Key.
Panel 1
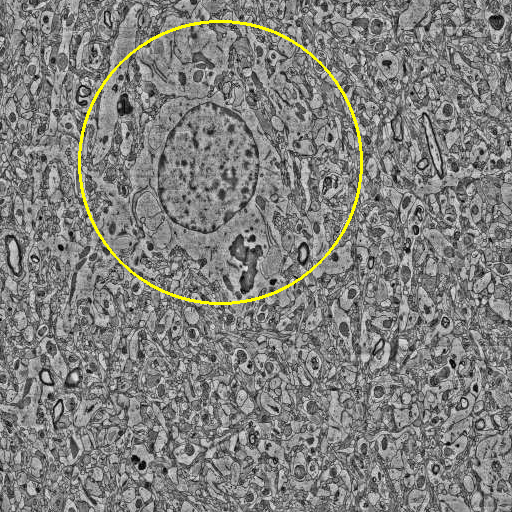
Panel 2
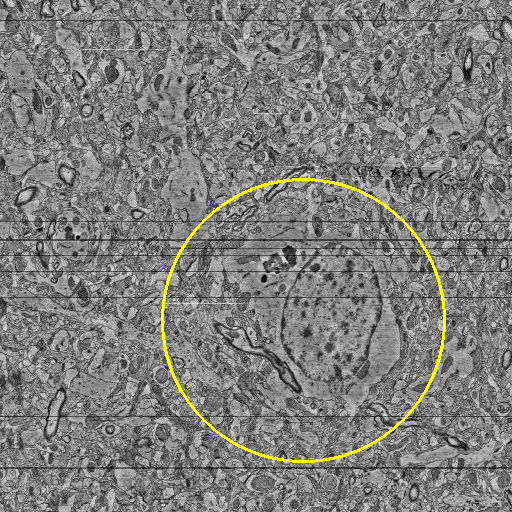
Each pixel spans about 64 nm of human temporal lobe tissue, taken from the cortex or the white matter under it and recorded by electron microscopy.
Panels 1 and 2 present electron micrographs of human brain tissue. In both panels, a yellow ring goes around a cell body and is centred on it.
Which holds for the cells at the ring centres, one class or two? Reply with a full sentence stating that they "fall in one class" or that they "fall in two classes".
Taken together, the ring-centre cells of the two panels fall in one class.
